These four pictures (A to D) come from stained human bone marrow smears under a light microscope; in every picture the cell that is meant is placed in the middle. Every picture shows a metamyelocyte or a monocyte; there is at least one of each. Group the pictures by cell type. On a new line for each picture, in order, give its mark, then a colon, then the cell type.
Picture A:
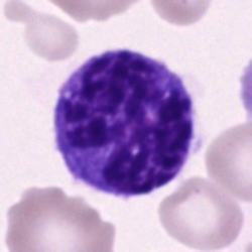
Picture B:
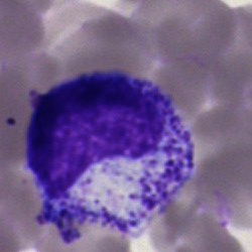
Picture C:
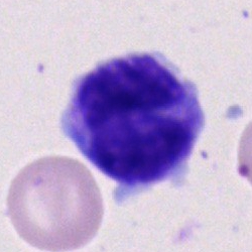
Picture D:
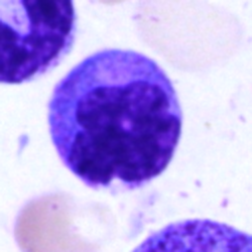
A: monocyte
B: metamyelocyte
C: monocyte
D: monocyte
